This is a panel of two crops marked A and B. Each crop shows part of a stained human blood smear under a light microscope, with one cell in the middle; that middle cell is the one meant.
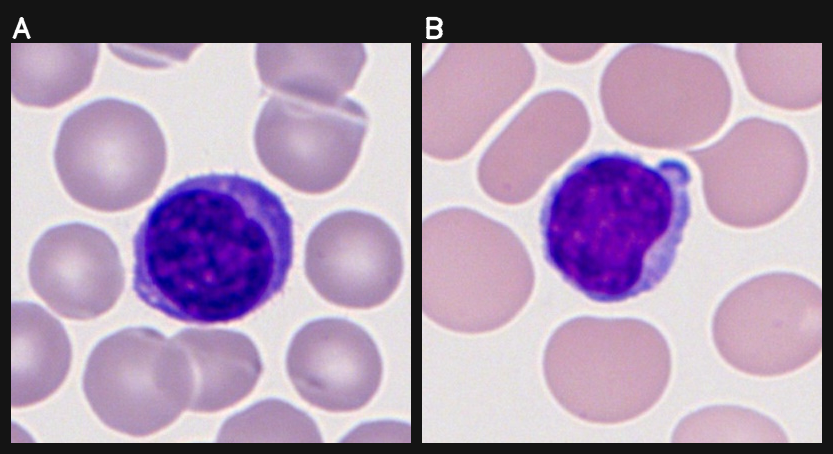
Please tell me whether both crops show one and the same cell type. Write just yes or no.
yes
